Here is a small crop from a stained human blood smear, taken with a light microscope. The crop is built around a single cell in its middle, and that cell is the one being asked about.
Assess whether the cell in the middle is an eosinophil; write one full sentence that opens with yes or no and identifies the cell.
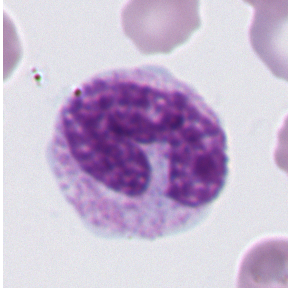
No, the centered cell is a band neutrophil and not an eosinophil at all.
